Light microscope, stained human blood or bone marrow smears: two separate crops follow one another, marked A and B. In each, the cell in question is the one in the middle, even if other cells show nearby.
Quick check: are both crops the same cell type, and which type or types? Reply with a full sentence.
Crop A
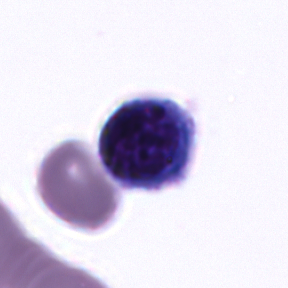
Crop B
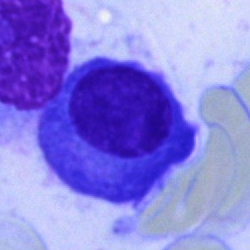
Yes, the cells in the centres of the two crops are plasma cells.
